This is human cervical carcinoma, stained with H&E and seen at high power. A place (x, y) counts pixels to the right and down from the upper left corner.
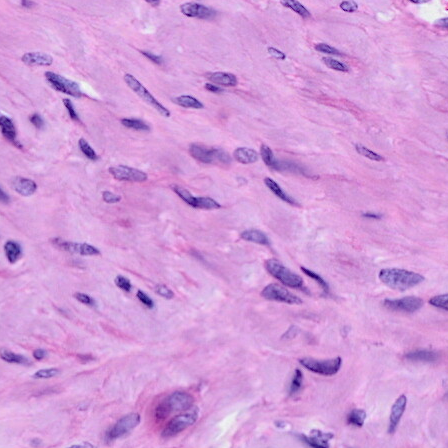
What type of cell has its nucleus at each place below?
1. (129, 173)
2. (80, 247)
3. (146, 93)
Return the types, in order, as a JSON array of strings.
["smooth muscle cell", "fibroblast", "fibroblast"]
